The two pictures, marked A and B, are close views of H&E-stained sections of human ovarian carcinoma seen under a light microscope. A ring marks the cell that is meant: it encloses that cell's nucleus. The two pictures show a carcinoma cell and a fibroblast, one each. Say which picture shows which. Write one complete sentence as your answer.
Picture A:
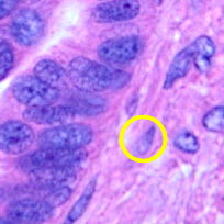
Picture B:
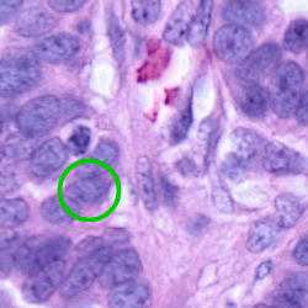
Picture B shows a carcinoma cell, while picture A shows a fibroblast.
